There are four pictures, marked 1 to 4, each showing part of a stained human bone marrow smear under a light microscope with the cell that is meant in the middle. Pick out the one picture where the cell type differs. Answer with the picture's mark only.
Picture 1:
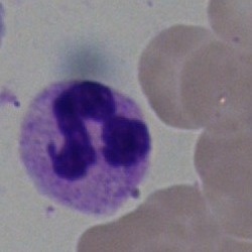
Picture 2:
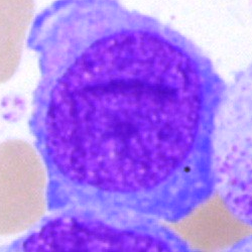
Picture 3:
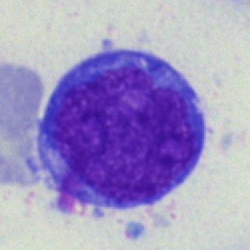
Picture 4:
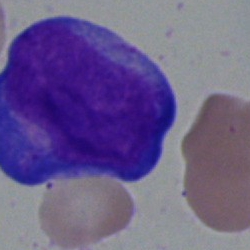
1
